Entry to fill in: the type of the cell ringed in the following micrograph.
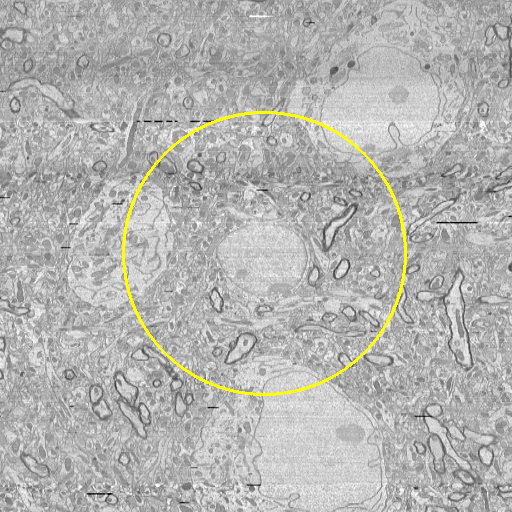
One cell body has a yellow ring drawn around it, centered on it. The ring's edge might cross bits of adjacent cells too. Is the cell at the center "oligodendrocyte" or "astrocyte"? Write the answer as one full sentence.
This entry names an astrocyte as the cell whose body lies at the ring's center.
